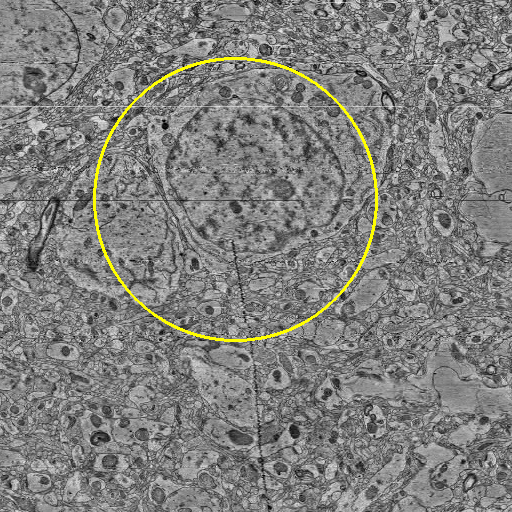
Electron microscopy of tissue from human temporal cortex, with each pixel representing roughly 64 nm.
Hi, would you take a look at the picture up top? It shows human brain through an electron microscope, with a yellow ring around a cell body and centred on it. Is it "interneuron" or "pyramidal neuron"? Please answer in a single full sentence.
The best fit for the cell in the middle of the ring is an interneuron, I reckon.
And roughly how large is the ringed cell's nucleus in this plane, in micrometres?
The ringed cell's nucleus is about 11 micrometres across in this plane.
